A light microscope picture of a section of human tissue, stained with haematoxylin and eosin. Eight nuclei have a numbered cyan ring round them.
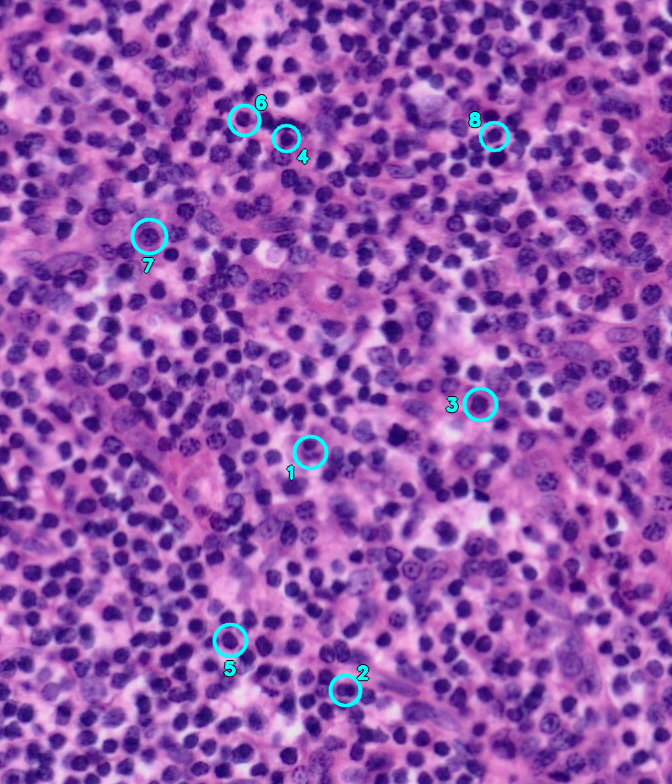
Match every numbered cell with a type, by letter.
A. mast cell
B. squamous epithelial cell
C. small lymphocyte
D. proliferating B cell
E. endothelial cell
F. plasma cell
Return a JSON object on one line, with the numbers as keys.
{"1": "F", "2": "C", "3": "F", "4": "C", "5": "C", "6": "C", "7": "F", "8": "C"}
